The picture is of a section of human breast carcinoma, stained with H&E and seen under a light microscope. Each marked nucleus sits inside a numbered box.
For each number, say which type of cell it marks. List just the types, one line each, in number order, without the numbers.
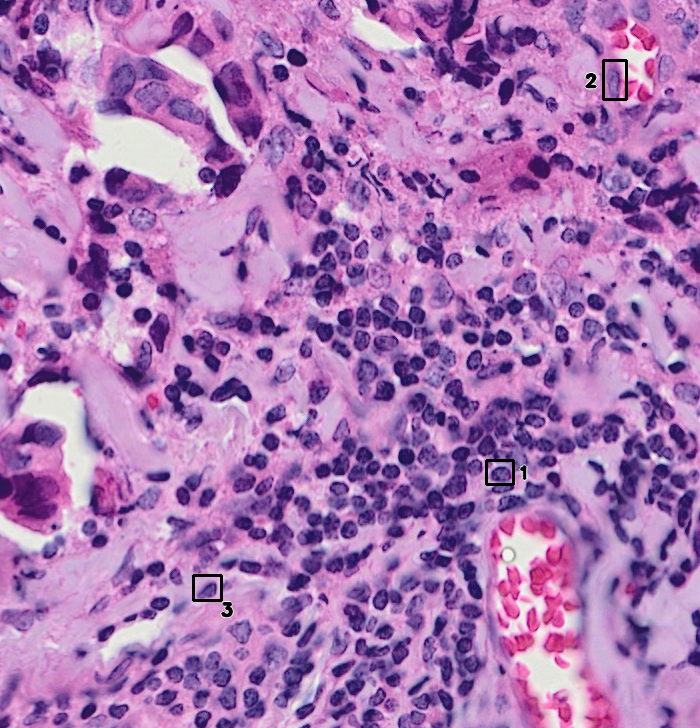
lymphocyte
endothelial cell
lymphocyte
